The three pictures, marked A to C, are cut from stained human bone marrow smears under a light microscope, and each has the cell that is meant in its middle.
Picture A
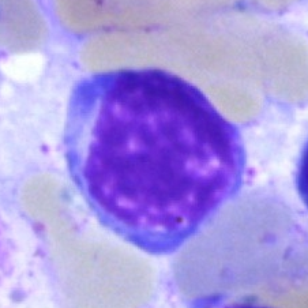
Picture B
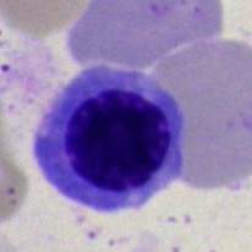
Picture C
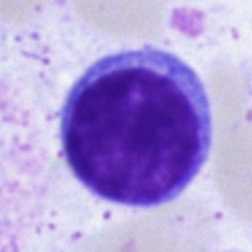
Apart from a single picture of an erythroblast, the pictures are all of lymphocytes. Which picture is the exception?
B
